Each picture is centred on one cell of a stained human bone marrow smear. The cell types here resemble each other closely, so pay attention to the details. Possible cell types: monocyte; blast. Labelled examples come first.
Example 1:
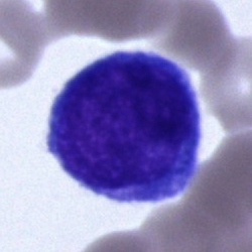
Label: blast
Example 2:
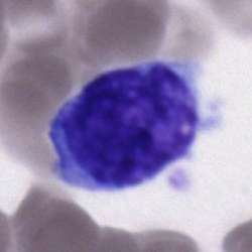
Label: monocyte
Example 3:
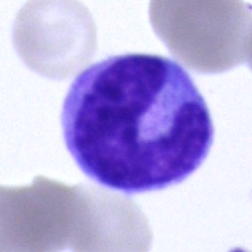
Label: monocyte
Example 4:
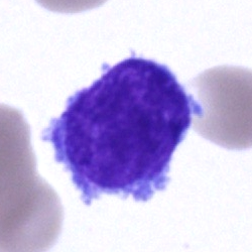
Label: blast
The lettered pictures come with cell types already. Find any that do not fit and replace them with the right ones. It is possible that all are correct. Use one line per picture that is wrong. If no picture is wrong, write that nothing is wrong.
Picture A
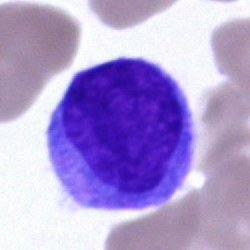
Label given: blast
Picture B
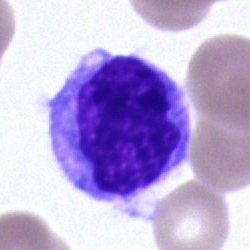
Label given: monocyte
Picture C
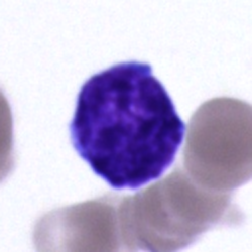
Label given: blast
All correct.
